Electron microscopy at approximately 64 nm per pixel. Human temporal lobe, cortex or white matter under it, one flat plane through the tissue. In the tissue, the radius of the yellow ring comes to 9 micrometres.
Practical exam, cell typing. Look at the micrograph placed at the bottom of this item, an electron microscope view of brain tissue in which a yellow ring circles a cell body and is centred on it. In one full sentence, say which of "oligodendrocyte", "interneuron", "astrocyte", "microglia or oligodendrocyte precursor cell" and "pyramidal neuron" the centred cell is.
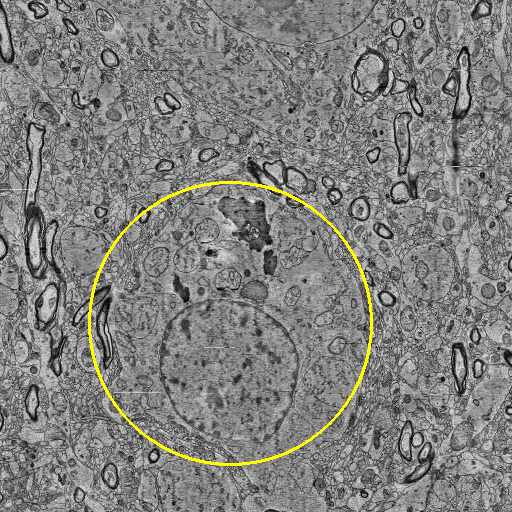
Given the options, an astrocyte fits the cell whose body the yellow ring is centred on.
